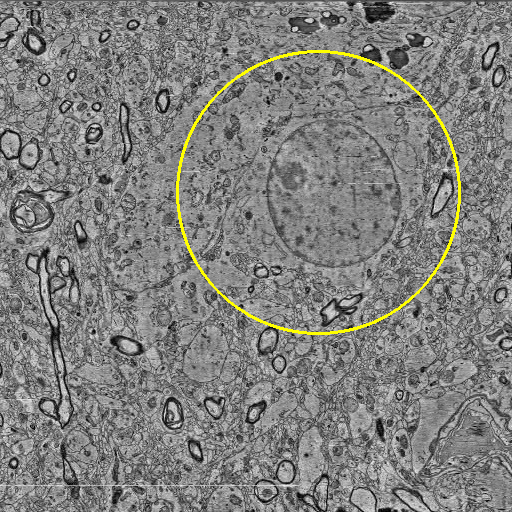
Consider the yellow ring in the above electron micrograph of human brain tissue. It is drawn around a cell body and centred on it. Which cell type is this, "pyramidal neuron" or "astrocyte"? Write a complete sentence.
The cell in question is an astrocyte.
